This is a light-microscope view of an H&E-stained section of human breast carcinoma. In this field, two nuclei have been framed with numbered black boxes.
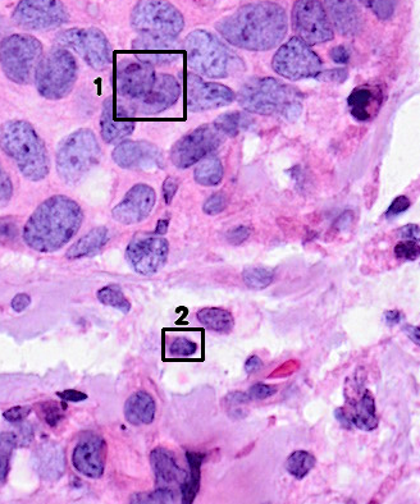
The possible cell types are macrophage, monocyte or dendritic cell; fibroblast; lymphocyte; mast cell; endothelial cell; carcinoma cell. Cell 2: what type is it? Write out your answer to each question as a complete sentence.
The identity of cell 2 is that of a lymphocyte.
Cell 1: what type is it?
The nucleus marked 1 is the nucleus of a carcinoma cell.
